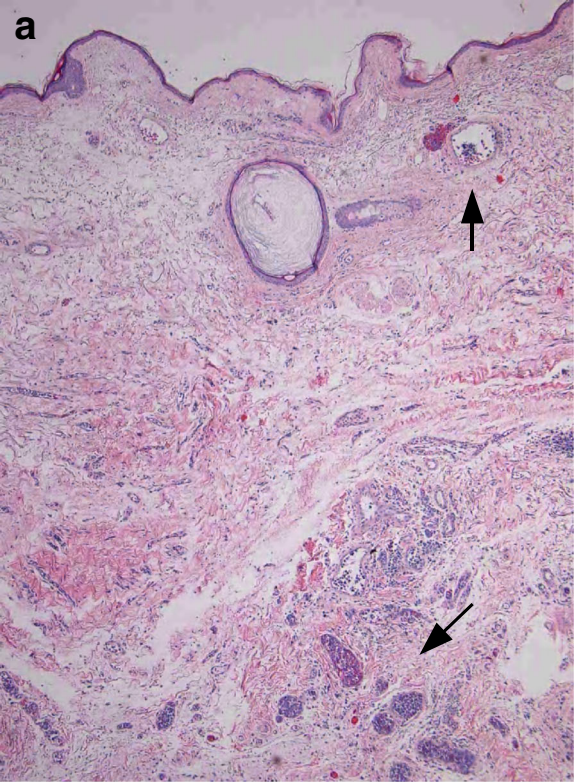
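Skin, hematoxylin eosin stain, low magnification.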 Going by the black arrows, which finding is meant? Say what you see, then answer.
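Rounded vascular spaces in the dermis are packed with dark purple cells. Such filled spaces are clustered in the lower part of the section. The epidermis lies at the top with a hair follicle cyst below it. So: enlarged vessels filled with tumor cells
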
